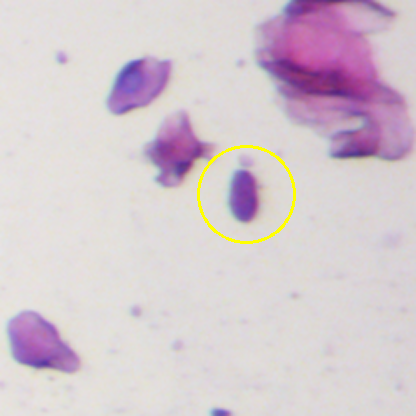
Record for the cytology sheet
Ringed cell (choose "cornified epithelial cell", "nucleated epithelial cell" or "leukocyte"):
nucleated epithelial cell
